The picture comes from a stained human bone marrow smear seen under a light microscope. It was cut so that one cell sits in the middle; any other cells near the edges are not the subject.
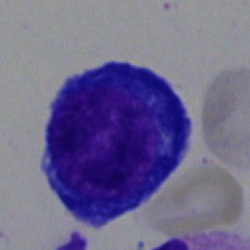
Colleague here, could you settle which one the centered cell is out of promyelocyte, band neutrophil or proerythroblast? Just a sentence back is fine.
The single cell at the center of the crop is a proerythroblast.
